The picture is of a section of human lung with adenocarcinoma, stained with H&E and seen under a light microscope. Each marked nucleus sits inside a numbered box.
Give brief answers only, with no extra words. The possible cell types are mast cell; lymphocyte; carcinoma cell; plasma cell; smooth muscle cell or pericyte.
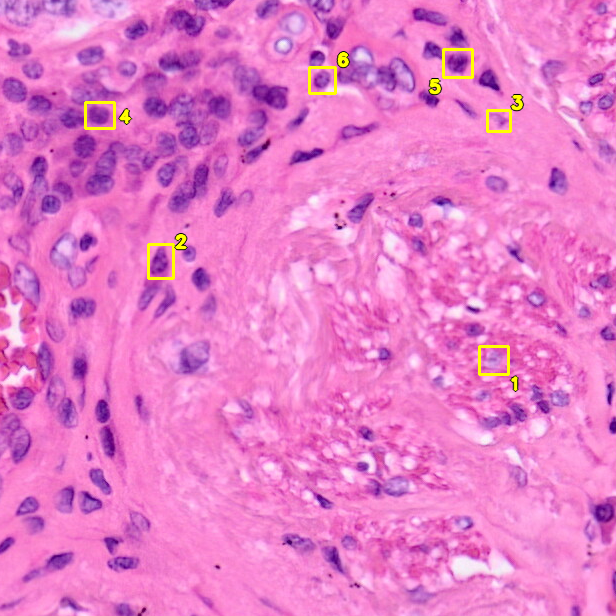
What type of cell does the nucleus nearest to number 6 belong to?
lymphocyte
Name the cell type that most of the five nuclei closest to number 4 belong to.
plasma cell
